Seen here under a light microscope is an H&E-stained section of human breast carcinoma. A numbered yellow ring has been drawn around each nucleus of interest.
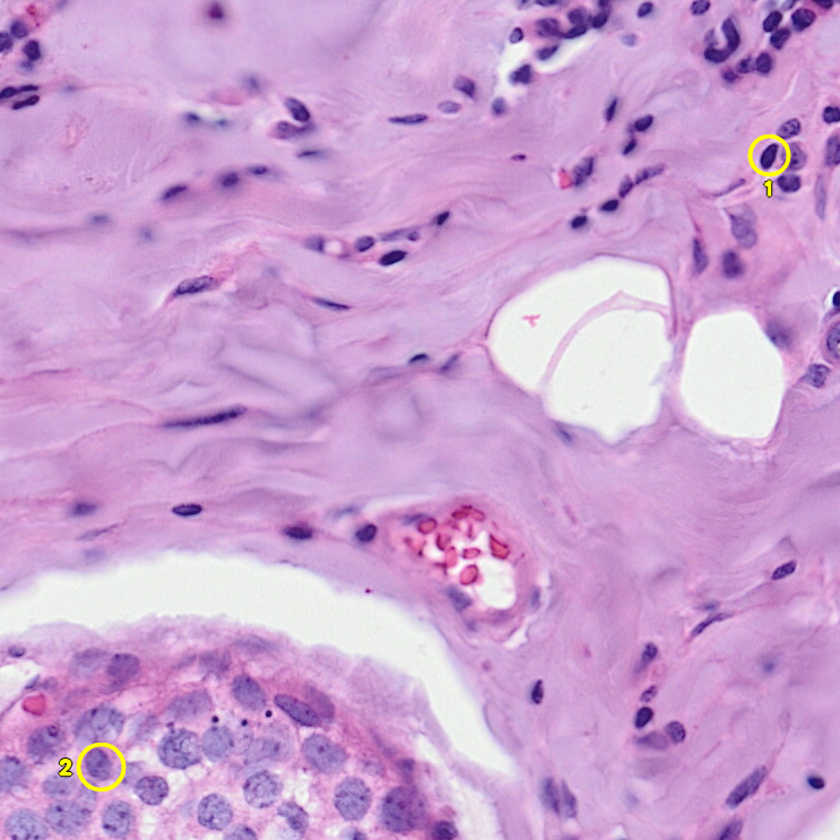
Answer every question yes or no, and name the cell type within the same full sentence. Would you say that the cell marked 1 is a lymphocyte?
Yes, the numbered cell 1 is identified as a lymphocyte.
